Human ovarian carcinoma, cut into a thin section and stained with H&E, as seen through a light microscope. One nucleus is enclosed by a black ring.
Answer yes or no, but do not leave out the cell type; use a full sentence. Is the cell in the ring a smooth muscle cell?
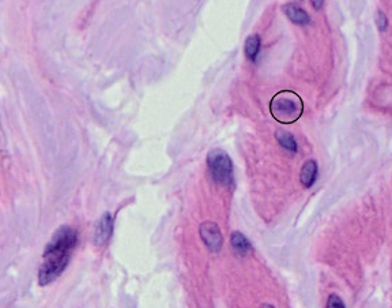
Yes, put very simply, the cell in the ring is a smooth muscle cell.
